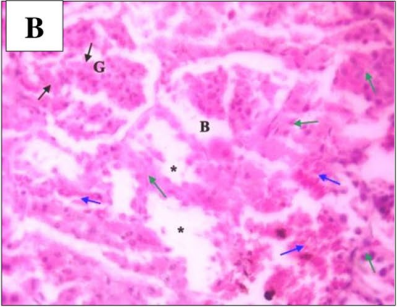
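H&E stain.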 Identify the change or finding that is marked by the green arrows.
Interstitial infiltration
